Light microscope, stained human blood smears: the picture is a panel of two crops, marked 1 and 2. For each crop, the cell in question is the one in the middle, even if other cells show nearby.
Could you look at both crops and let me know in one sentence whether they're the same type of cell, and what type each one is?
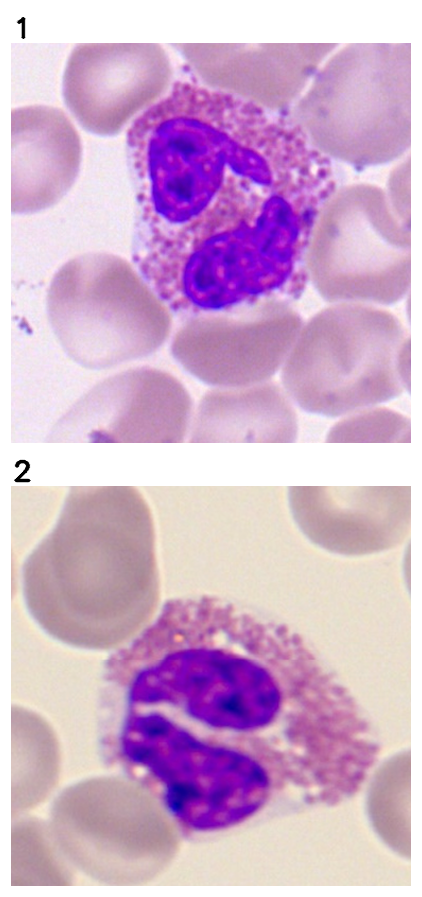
Yes, eosinophils are centred in both crops.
